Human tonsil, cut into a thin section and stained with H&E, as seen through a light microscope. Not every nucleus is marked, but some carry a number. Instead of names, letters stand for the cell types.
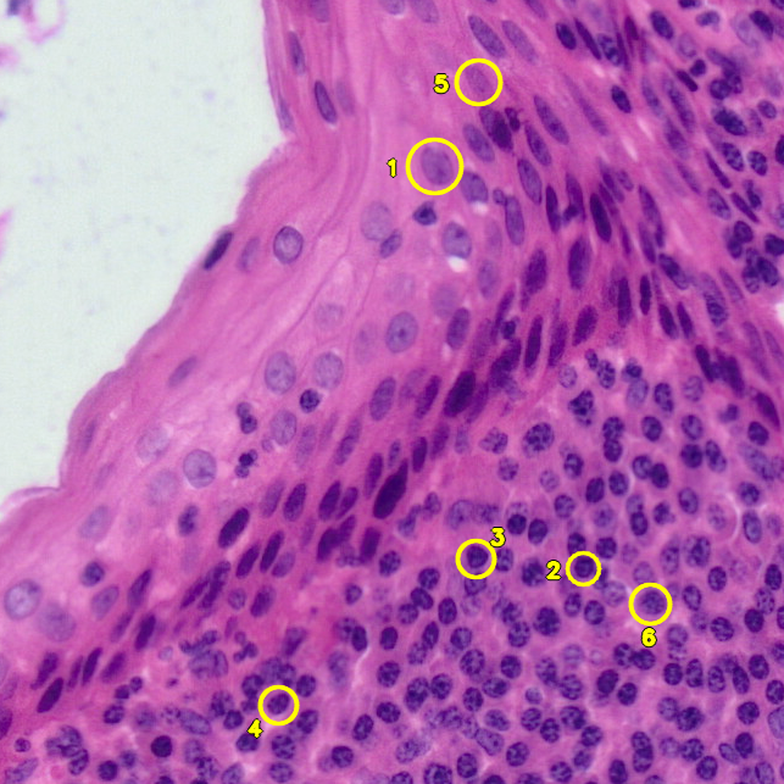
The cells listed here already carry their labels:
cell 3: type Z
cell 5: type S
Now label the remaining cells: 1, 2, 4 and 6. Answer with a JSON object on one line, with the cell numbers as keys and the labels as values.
{"1": "type S", "2": "type Z", "4": "type Z", "6": "type Z"}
